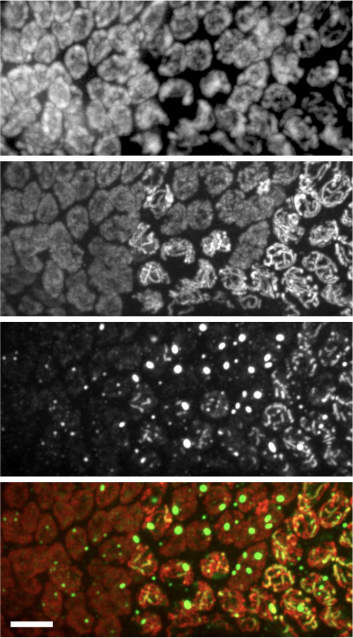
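Premeiotic and early meiotic germline nuclei of the gonad are seen, packed closely side by side and stacked as four views of the same field. The red view shows thread-like axes along chromosomes in nuclei toward the right, and a diffuse haze in nuclei to the left. The green view is dominated by large, round, very bright bodies, one or a few per nucleus, which in the merged image lie apart from the red threads; only some nuclei at the right carry green stretches along the threads.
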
